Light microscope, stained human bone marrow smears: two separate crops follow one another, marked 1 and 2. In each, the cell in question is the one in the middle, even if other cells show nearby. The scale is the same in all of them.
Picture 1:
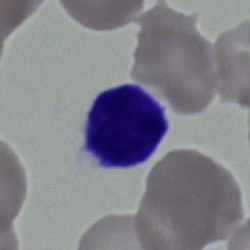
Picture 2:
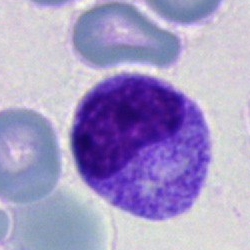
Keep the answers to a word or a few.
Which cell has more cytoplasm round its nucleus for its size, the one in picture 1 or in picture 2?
2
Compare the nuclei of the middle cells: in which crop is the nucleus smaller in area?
1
